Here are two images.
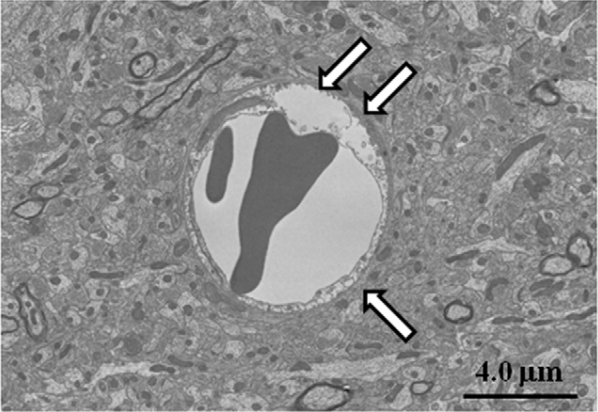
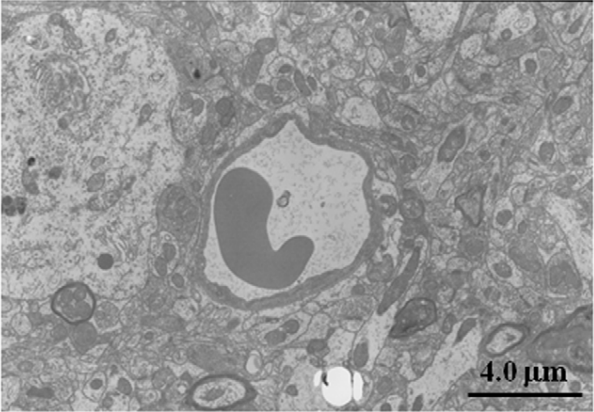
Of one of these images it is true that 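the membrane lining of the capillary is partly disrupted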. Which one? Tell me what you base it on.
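First image: the lining at the upper right of the lumen is ragged with fragmented pale material. Second image: the capillary wall forms a continuous, intact rim around the lumen. On this evidence: the first image.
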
